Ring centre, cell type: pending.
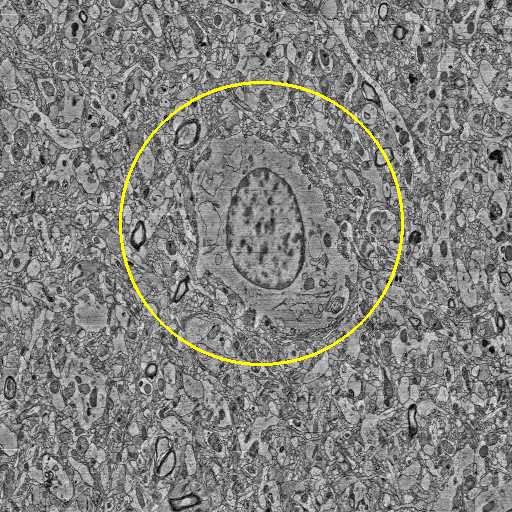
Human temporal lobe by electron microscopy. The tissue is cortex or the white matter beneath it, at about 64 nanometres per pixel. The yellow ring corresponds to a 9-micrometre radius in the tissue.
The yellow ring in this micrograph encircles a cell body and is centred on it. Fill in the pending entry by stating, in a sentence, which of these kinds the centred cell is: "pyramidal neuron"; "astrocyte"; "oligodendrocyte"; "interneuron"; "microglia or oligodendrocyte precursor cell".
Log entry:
The centred cell is recorded as an astrocyte.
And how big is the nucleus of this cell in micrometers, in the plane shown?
The ringed cell's nucleus is roughly 8 by 5 micrometres and clearly longer than it is wide in this plane.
